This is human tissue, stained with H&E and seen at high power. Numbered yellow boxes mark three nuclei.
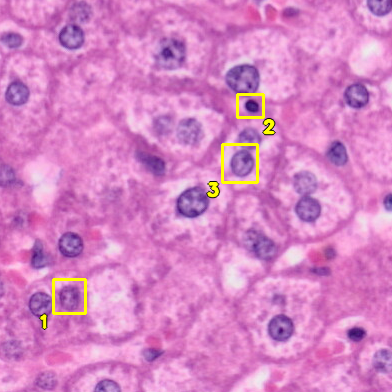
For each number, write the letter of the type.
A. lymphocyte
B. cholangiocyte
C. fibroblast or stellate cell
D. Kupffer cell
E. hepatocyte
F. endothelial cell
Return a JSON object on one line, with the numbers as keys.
{"1": "E", "2": "A", "3": "E"}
